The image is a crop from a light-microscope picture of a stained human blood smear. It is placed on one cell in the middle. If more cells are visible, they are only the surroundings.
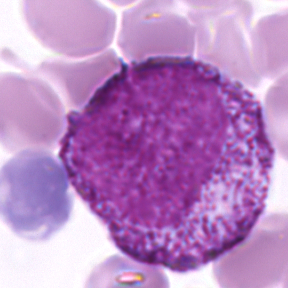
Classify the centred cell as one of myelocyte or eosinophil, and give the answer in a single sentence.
The cell marked by its central position in the crop is a myelocyte.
